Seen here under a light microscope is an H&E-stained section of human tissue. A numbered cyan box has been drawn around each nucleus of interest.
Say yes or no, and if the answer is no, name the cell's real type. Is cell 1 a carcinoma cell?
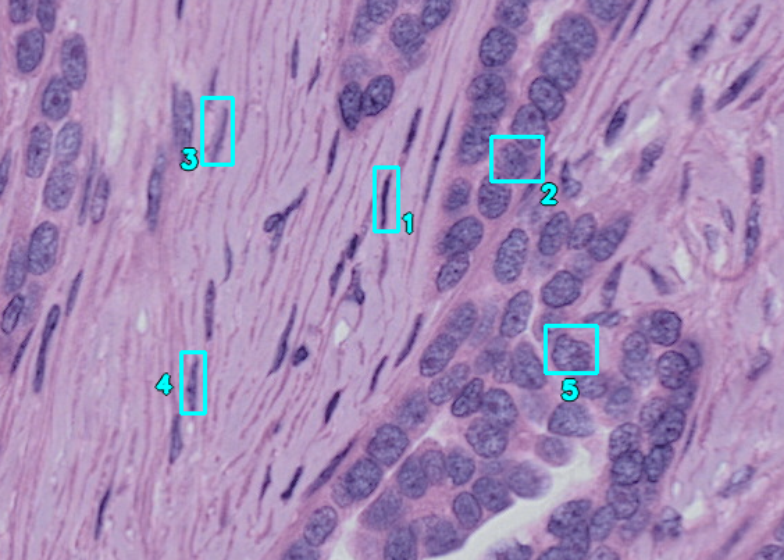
No, it is a fibroblast.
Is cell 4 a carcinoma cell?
No, it is a fibroblast.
